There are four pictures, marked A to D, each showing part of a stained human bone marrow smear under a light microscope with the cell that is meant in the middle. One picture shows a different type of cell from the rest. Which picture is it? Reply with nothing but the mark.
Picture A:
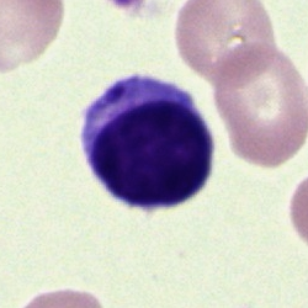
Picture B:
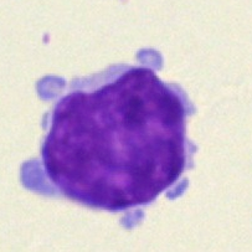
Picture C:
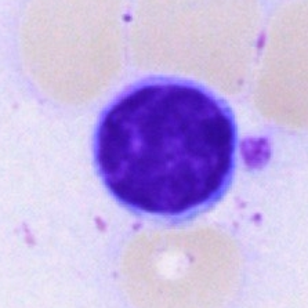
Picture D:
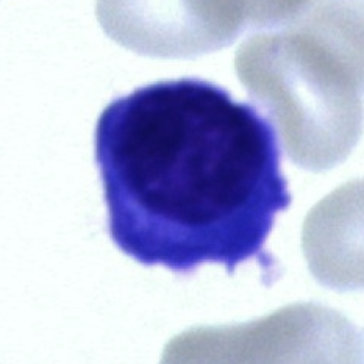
D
